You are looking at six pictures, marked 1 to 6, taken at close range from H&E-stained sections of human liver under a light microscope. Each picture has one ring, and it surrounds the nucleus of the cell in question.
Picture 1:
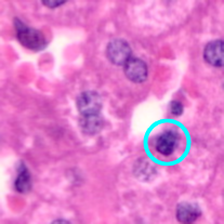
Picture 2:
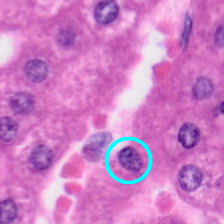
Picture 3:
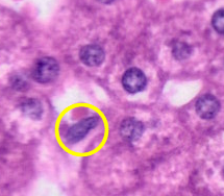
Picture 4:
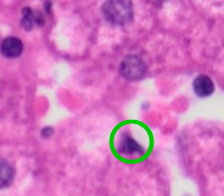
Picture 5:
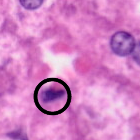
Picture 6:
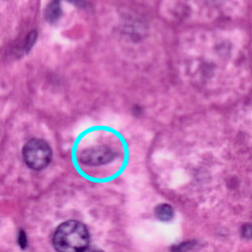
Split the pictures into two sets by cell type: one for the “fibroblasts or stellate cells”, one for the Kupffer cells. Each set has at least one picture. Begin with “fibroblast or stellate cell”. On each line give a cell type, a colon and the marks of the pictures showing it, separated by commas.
fibroblast or stellate cell: 1, 2, 4, 5
Kupffer cell: 3, 6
